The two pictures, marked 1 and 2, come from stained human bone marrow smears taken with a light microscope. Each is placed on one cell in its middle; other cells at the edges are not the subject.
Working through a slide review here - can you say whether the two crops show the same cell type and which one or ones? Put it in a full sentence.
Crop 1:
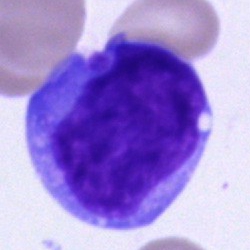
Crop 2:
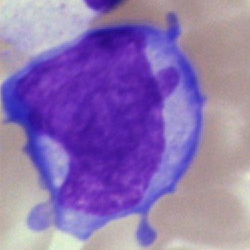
Yes, the two crops show blasts at their centres.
